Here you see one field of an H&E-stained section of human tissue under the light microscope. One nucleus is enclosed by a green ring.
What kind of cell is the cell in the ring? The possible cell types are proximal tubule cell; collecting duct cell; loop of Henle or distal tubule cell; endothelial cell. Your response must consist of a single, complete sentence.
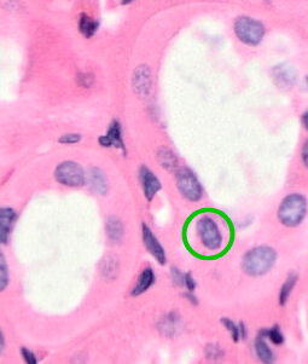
The identity of the cell in the ring is that of a loop of Henle or distal tubule cell.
